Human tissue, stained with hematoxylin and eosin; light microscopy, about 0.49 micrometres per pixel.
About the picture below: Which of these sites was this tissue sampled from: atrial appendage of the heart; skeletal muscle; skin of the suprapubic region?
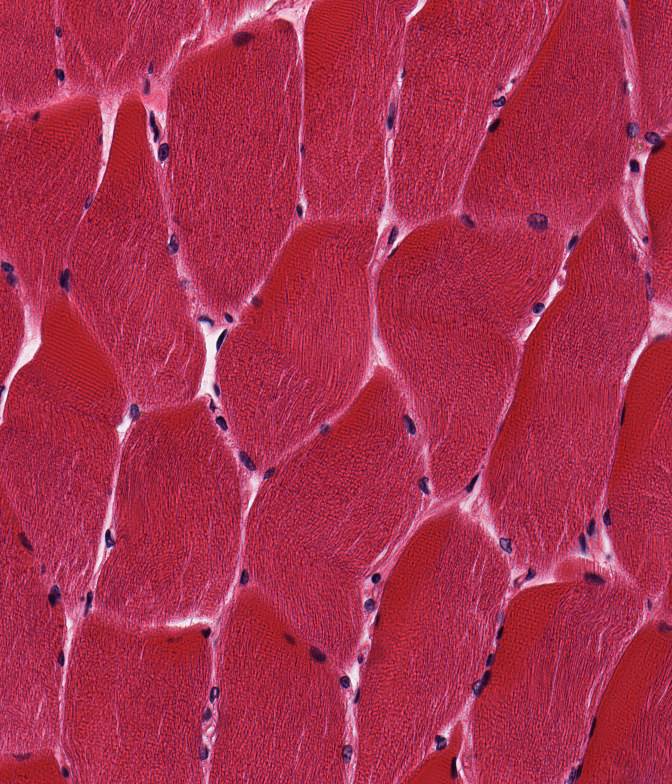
skeletal muscle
